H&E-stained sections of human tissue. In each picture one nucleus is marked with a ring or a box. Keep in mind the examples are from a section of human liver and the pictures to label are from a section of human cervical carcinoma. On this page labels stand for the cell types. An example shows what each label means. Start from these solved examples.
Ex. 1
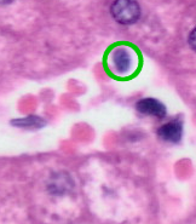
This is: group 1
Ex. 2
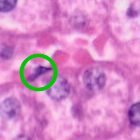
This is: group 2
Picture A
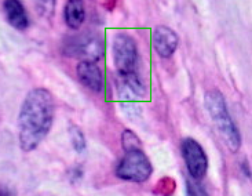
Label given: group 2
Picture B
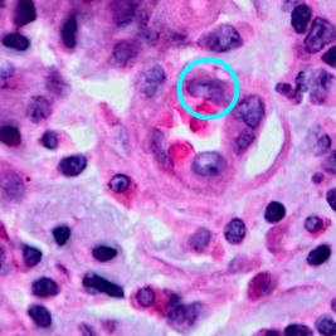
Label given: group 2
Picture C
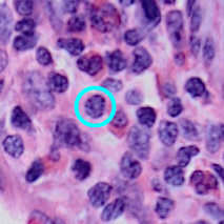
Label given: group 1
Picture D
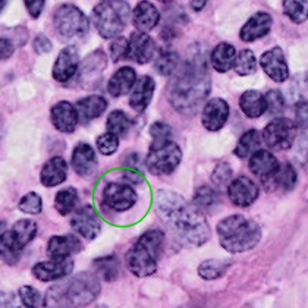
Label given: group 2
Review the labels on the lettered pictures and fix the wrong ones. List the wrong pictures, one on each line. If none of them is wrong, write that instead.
D should be group 1, not group 2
